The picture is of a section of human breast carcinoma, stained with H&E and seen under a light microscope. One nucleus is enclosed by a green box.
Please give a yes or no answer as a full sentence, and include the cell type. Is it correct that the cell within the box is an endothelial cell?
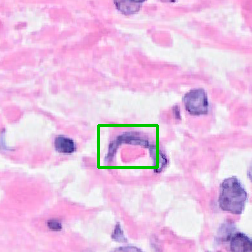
Yes, the classification of the cell within the box as an endothelial cell is accurate.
